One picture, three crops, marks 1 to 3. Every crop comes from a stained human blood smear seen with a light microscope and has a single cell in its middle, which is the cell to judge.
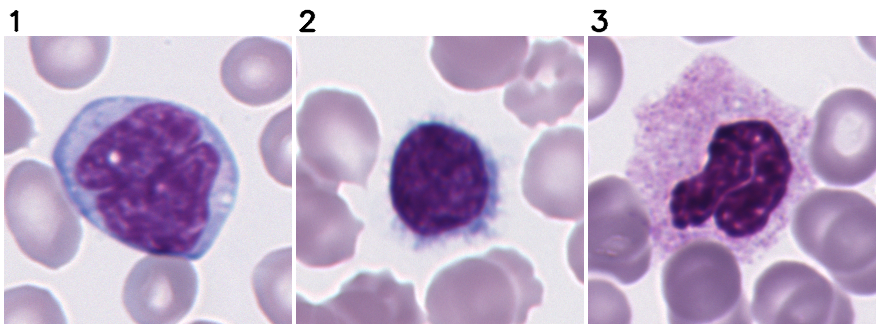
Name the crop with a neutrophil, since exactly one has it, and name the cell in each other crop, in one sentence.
The central cell in crop 3 is a neutrophil, whereas crop 1 is a blast and crop 2 is a hairy cell.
